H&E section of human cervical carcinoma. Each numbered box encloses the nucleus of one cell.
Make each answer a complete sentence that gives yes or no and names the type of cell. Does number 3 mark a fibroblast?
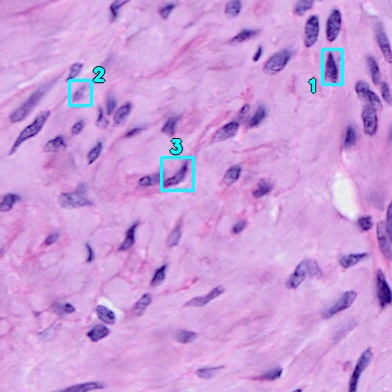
No, the cell at number 3 is a smooth muscle cell instead of a fibroblast.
